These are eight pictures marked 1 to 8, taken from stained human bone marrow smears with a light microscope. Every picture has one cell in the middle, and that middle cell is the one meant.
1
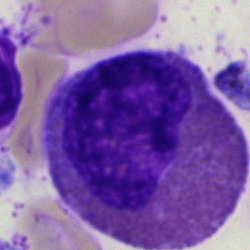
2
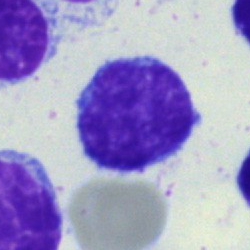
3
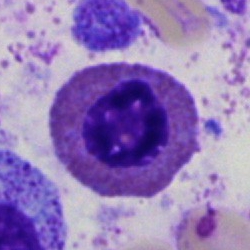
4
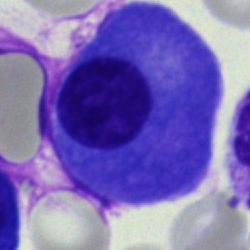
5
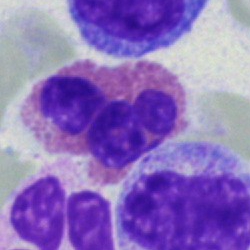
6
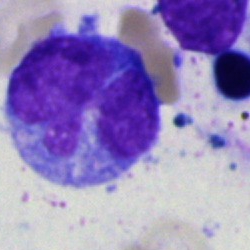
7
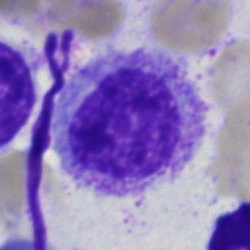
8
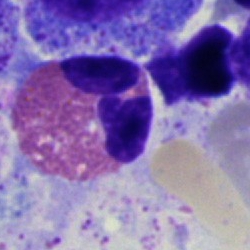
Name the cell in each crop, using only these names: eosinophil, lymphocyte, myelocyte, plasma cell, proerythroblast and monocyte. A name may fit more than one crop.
1: eosinophil
2: lymphocyte
3: eosinophil
4: plasma cell
5: eosinophil
6: monocyte
7: myelocyte
8: eosinophil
